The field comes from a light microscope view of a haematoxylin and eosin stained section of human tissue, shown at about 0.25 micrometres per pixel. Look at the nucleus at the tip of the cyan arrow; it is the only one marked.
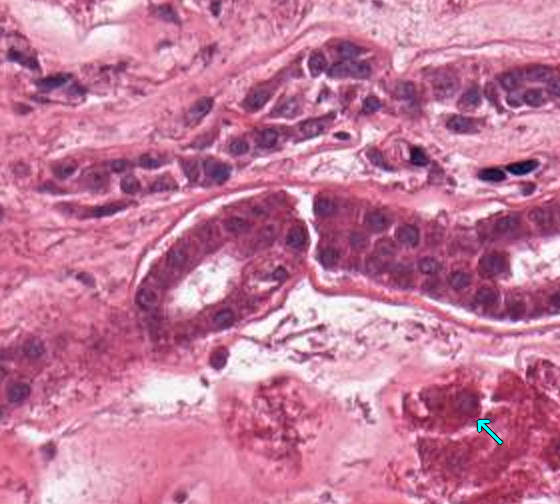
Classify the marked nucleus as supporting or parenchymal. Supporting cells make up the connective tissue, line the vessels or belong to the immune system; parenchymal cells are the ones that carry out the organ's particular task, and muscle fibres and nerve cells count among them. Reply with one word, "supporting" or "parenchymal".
parenchymal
